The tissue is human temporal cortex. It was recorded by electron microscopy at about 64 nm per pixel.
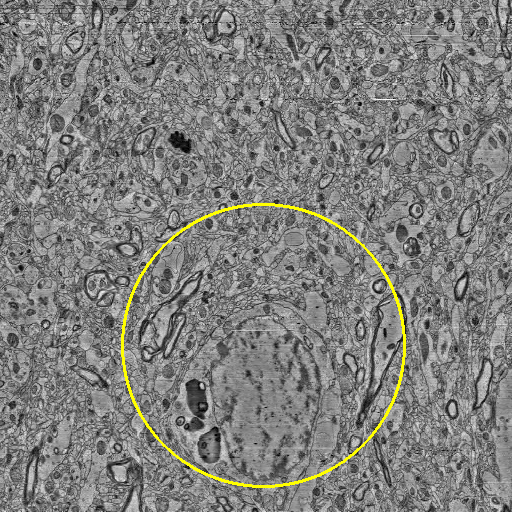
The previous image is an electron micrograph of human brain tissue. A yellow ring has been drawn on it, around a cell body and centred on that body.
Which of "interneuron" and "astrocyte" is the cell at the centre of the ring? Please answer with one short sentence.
The cell body at the centre of the ring belongs to an interneuron.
